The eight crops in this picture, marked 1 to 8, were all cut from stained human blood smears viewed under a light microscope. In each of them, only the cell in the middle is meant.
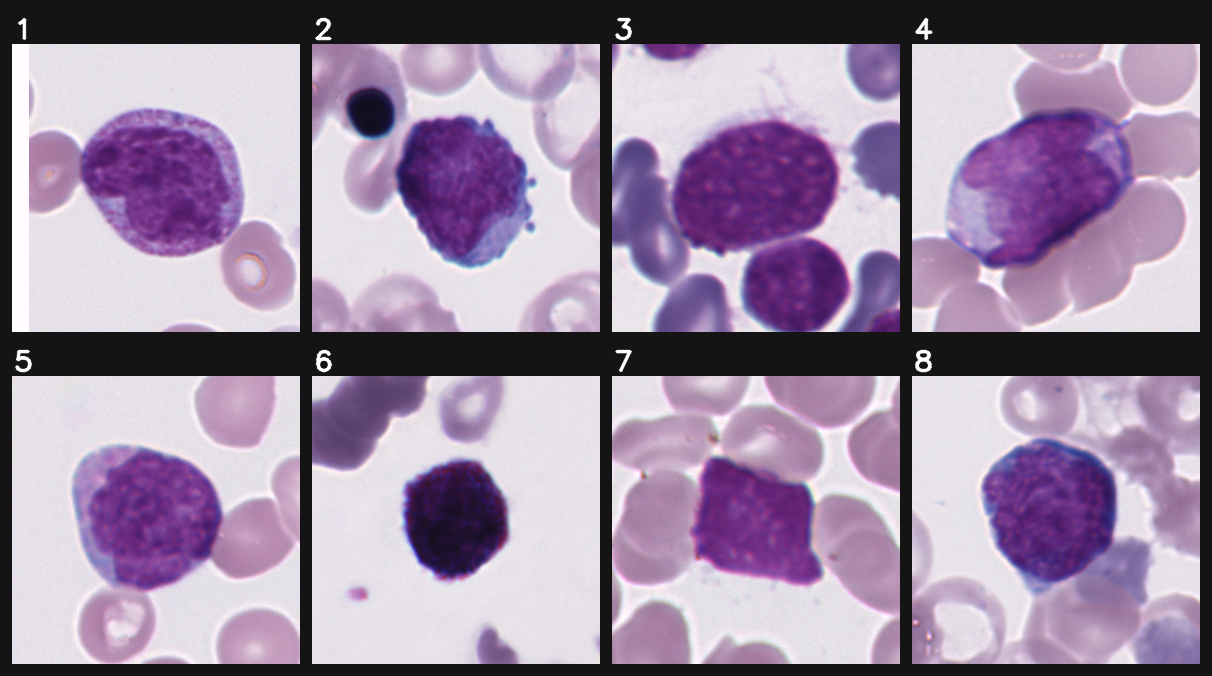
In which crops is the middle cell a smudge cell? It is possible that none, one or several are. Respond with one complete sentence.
With the exception of crop 7, the crops do not show a smudge cell.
